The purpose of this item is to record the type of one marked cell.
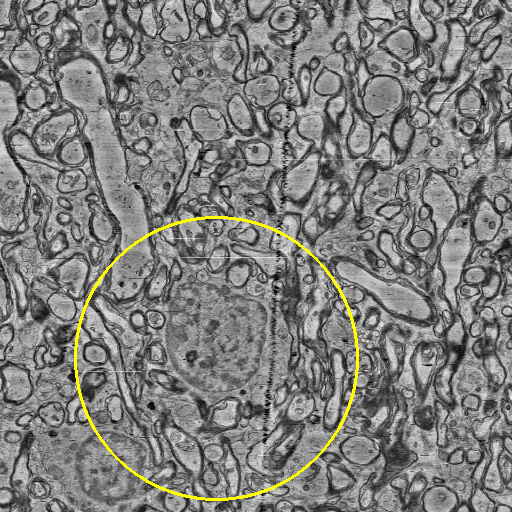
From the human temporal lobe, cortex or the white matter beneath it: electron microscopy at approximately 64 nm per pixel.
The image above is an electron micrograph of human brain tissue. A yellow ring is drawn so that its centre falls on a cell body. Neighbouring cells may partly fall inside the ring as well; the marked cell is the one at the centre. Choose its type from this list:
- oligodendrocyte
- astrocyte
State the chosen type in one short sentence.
What the ring marks here is an oligodendrocyte.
